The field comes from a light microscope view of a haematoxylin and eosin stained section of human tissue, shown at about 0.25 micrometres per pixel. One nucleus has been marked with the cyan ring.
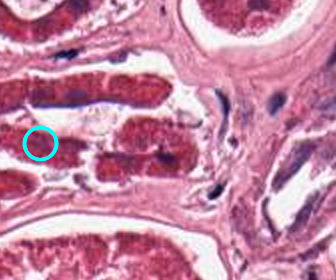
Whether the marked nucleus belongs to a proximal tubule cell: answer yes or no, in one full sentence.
Yes, the nucleus shown with the mark belongs to a proximal tubule cell.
